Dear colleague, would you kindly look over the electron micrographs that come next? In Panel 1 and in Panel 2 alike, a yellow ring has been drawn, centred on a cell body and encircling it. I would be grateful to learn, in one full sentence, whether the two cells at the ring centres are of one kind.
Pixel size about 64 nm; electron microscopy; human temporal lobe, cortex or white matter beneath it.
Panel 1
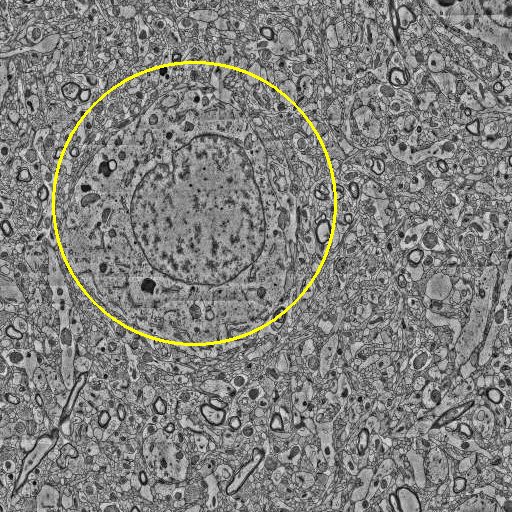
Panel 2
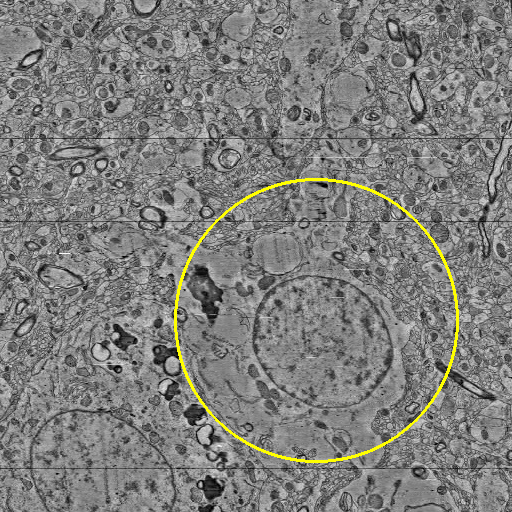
No, the cells in the middle of the rings in the two panels are of two kinds.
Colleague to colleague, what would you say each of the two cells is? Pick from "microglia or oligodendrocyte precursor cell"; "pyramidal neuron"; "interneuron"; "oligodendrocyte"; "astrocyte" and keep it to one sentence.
The cell in the first picture is a pyramidal neuron; the second picture's cell is an astrocyte.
